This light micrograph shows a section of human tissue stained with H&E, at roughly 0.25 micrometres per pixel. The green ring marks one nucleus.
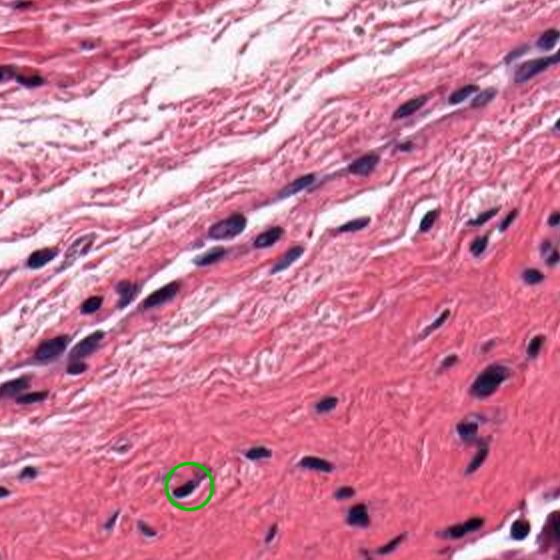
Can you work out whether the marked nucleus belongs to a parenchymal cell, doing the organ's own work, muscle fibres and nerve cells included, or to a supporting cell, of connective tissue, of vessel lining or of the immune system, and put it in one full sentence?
A supporting cell is the cell in which the marked nucleus is found.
